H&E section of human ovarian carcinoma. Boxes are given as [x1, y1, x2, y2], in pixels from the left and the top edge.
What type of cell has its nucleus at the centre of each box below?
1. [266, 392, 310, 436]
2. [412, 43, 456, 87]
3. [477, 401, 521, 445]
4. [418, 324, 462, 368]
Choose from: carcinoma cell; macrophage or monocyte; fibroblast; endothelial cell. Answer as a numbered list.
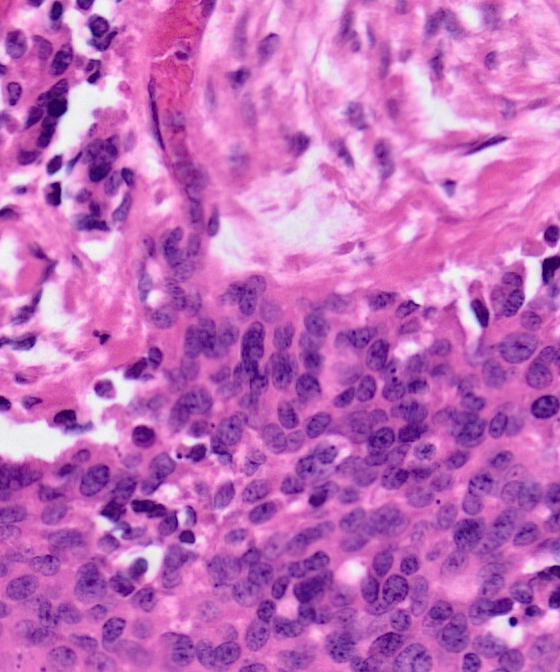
1. carcinoma cell
2. fibroblast
3. carcinoma cell
4. carcinoma cell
